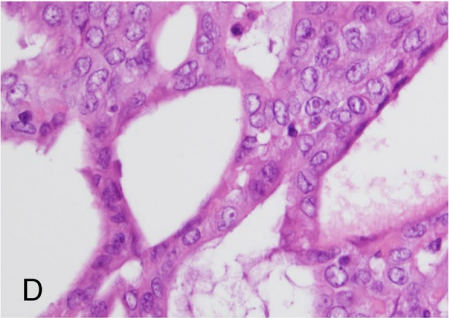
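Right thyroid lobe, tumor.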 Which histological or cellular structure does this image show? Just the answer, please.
Cribriform areas.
